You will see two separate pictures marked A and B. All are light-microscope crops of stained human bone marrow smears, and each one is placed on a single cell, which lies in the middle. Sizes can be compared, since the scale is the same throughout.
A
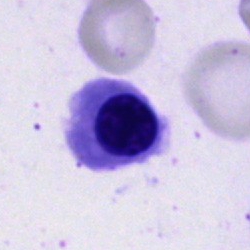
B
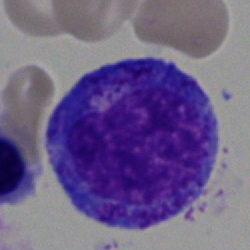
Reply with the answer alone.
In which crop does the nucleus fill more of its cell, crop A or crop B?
B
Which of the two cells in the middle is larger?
B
